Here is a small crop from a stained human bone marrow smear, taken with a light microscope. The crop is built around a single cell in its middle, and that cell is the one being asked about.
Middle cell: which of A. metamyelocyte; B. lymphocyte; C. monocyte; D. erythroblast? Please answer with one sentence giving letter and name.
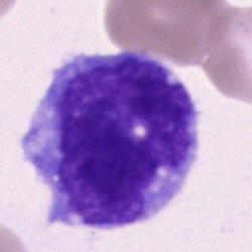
In the centre of the crop there is a monocyte, making option C correct.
